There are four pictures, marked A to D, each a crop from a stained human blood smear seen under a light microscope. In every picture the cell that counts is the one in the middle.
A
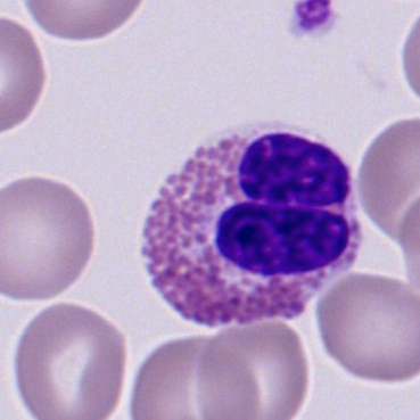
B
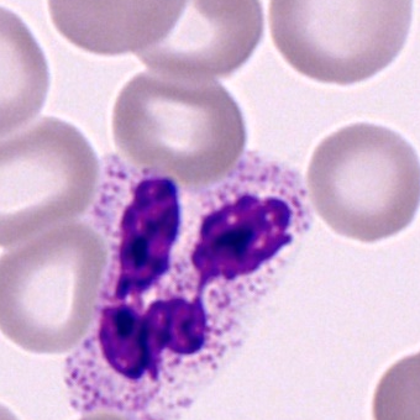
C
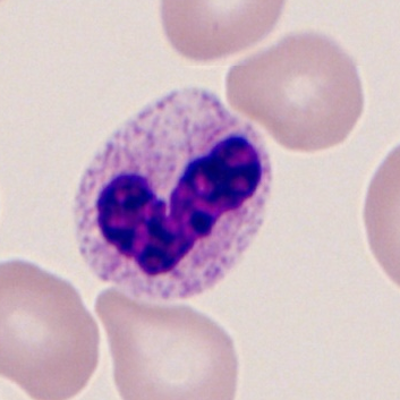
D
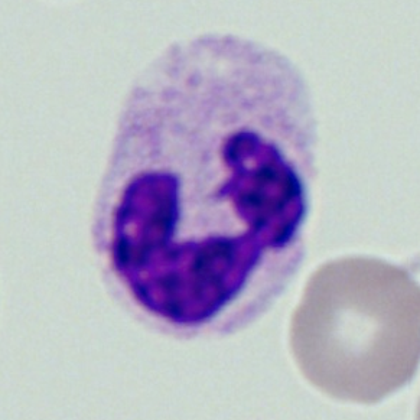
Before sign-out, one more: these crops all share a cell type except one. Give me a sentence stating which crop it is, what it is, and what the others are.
What sets crop A apart is that it shows an eosinophil, while the others show segmented neutrophils.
